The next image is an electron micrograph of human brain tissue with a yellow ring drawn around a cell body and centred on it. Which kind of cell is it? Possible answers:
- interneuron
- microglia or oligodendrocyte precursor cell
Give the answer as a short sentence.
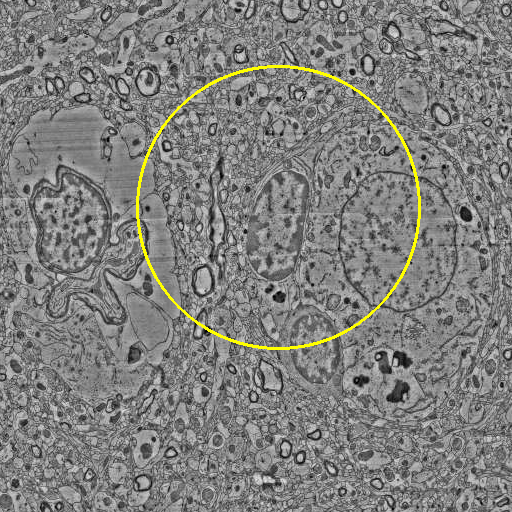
In the ring's centre is a microglial cell or oligodendrocyte precursor cell.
